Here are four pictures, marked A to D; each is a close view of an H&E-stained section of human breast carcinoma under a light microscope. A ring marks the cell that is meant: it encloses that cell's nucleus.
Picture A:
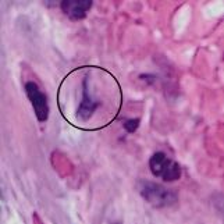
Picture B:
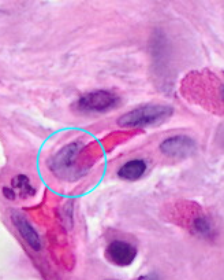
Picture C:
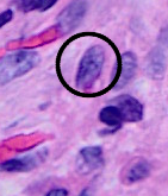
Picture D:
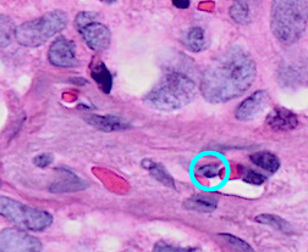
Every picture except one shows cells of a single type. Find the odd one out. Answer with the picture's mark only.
A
